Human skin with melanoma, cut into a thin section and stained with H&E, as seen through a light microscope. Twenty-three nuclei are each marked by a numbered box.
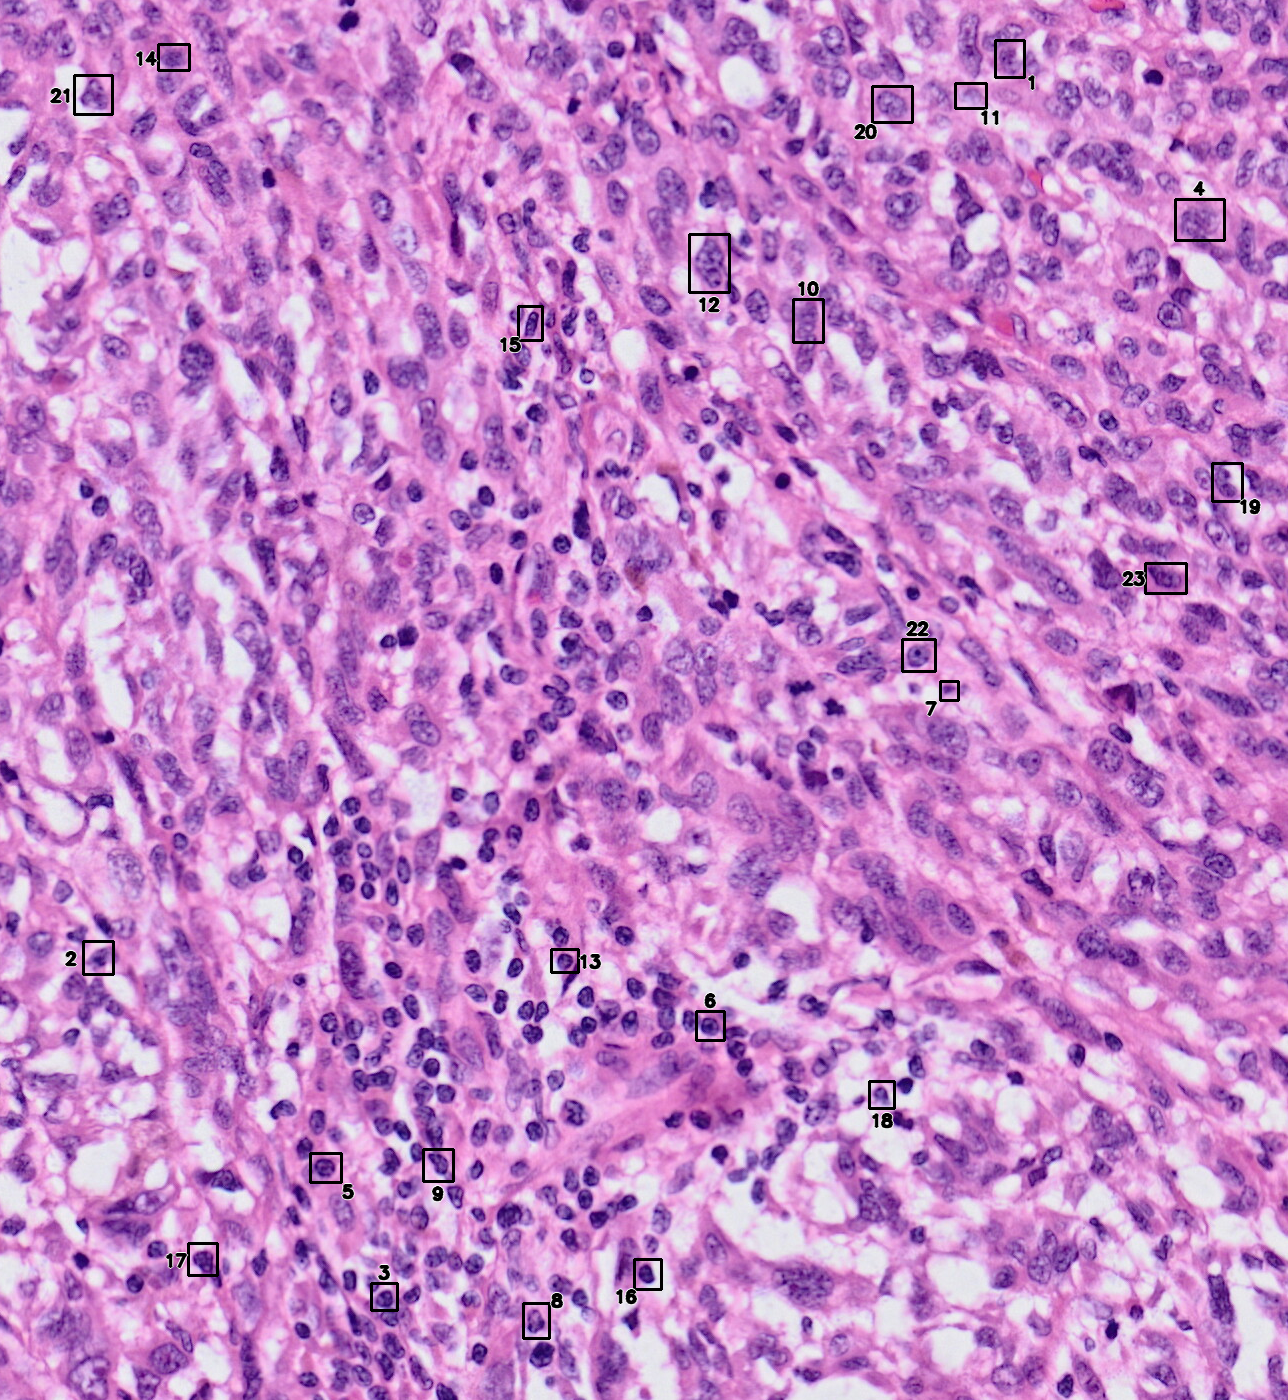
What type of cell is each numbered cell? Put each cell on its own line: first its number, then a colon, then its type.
1: melanoma cell
2: lymphocyte
3: lymphocyte
4: melanoma cell
5: plasma cell
6: lymphocyte
7: lymphocyte
8: lymphocyte
9: lymphocyte
10: melanoma cell
11: melanoma cell
12: melanoma cell
13: lymphocyte
14: melanoma cell
15: lymphocyte
16: lymphocyte
17: lymphocyte
18: lymphocyte
19: melanoma cell
20: melanoma cell
21: melanoma cell
22: lymphocyte
23: melanoma cell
